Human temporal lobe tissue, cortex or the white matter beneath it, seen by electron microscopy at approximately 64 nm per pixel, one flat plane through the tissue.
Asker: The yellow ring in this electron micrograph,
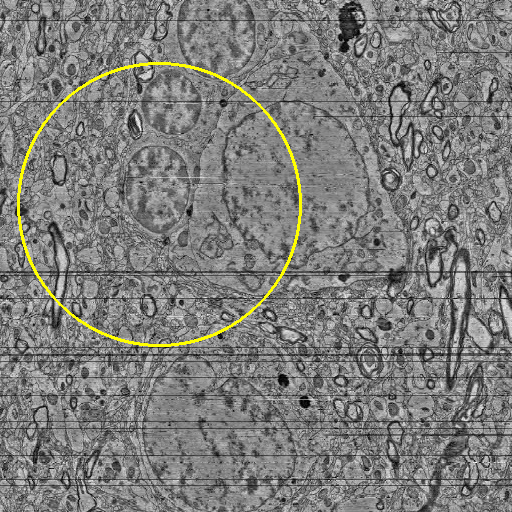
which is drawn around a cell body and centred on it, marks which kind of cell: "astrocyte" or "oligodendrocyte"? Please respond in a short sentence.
The marked cell is an oligodendrocyte.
